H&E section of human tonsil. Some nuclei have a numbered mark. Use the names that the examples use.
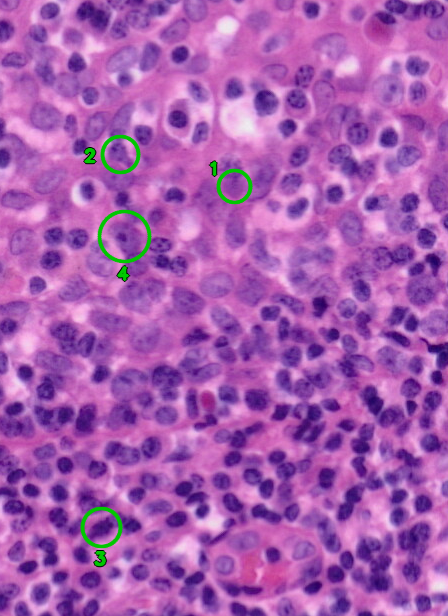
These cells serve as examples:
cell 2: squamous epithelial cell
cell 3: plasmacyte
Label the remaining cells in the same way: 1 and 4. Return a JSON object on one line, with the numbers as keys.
{"1": "squamous epithelial cell", "4": "squamous epithelial cell"}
